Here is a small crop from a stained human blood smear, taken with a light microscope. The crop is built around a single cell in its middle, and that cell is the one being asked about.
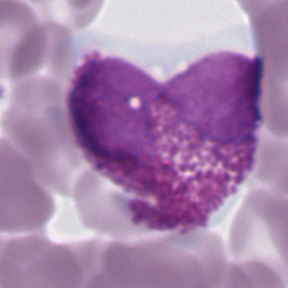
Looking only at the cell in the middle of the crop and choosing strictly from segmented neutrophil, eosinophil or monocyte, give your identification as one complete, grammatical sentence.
Classification of the middle cell gives an eosinophil.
